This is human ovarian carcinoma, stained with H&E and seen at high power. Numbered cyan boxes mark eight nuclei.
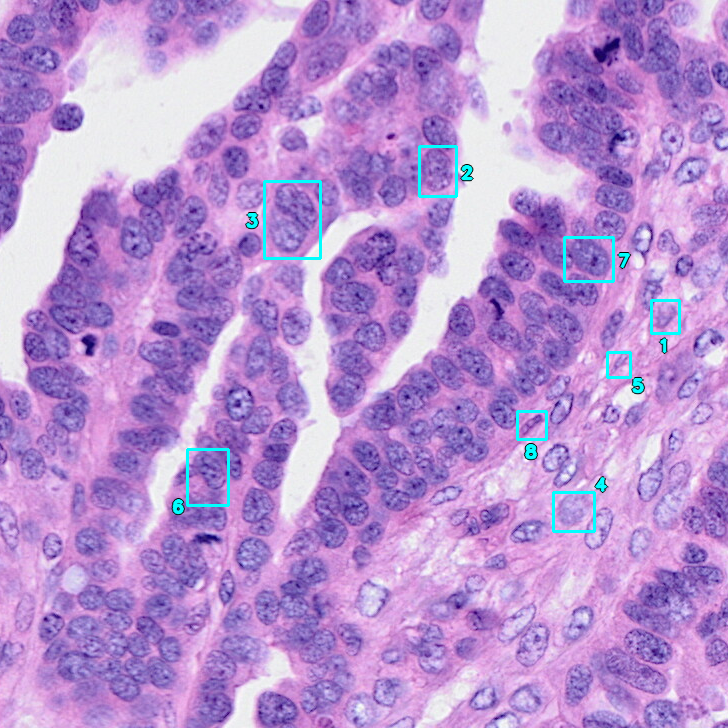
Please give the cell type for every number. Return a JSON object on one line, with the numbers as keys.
{"1": "fibroblast", "2": "carcinoma cell", "3": "carcinoma cell", "4": "fibroblast", "5": "fibroblast", "6": "carcinoma cell", "7": "carcinoma cell", "8": "fibroblast"}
